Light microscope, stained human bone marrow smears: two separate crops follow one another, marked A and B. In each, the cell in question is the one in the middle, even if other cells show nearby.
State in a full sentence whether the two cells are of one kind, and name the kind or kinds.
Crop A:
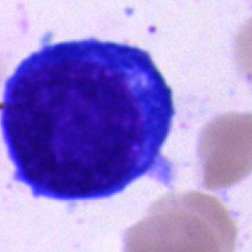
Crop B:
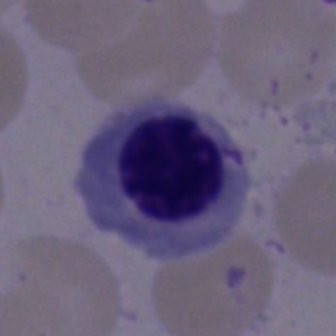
Yes, in short, both crops show erythroblasts.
